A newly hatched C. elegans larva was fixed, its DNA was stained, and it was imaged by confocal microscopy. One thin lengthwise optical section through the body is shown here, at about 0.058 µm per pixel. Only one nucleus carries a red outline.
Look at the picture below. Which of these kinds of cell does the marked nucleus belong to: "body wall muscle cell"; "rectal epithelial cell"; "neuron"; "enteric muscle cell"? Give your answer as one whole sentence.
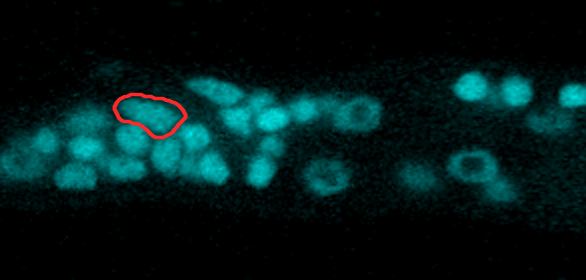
The nucleus comes from a rectal epithelial cell.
